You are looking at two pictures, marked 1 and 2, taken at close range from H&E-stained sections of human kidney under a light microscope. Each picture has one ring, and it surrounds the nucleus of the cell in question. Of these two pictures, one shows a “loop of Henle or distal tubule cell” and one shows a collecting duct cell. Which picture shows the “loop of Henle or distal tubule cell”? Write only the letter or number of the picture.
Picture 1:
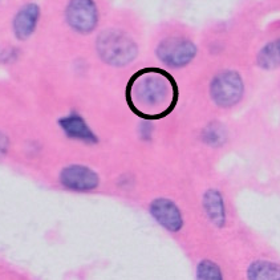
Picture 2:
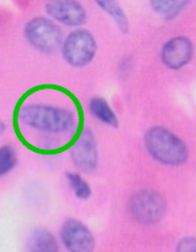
1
